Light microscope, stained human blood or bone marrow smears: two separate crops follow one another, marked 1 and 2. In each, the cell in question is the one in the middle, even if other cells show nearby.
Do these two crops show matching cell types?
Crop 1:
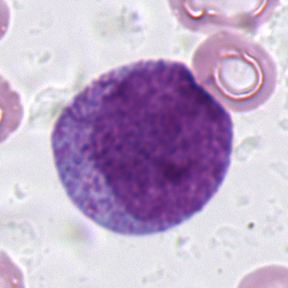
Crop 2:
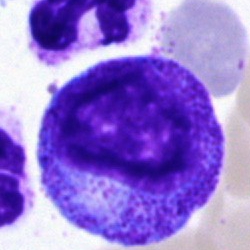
yes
